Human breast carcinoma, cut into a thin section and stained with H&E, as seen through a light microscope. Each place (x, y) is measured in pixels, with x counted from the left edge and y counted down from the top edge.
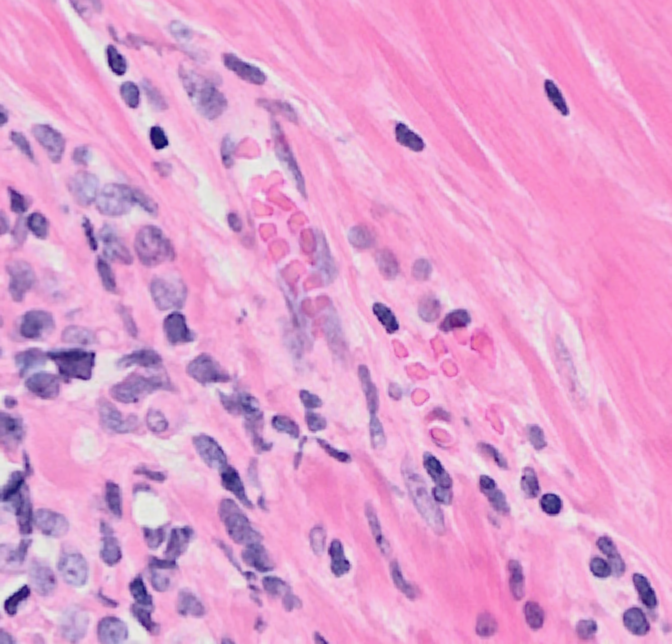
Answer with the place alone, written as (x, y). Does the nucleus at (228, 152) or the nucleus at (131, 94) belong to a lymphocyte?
(131, 94)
